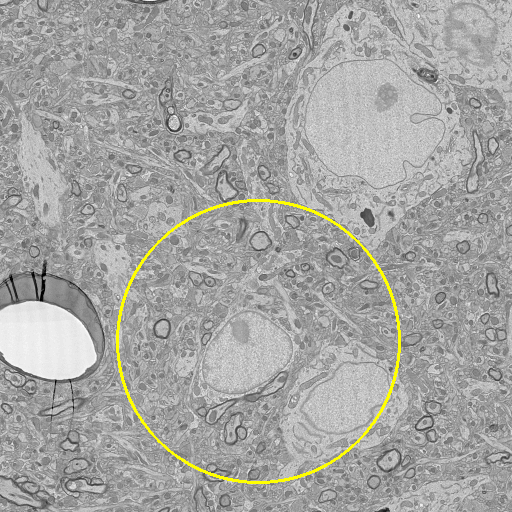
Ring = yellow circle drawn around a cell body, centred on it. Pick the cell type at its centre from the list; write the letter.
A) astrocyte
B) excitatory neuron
A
